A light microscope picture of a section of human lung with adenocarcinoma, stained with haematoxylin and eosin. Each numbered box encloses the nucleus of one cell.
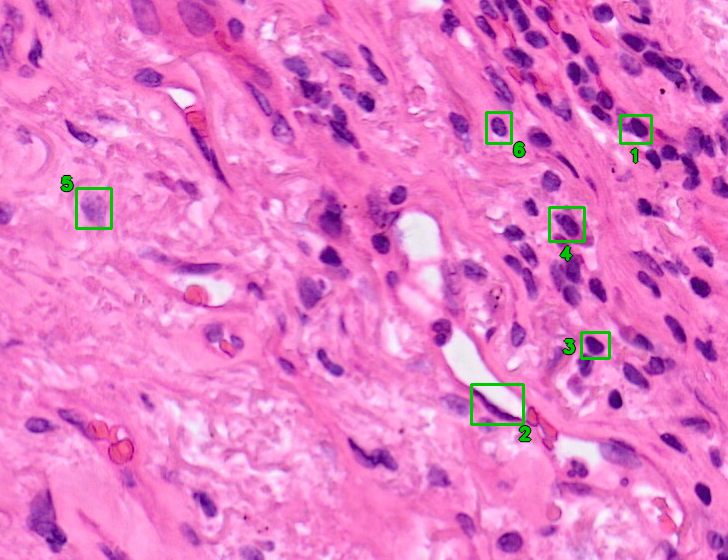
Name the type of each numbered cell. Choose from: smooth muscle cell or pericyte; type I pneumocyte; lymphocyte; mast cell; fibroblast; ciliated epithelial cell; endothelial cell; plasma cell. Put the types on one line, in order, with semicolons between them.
lymphocyte; endothelial cell; lymphocyte; plasma cell; fibroblast; lymphocyte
